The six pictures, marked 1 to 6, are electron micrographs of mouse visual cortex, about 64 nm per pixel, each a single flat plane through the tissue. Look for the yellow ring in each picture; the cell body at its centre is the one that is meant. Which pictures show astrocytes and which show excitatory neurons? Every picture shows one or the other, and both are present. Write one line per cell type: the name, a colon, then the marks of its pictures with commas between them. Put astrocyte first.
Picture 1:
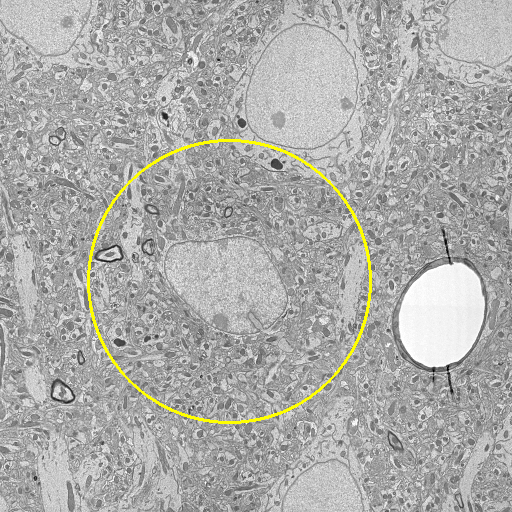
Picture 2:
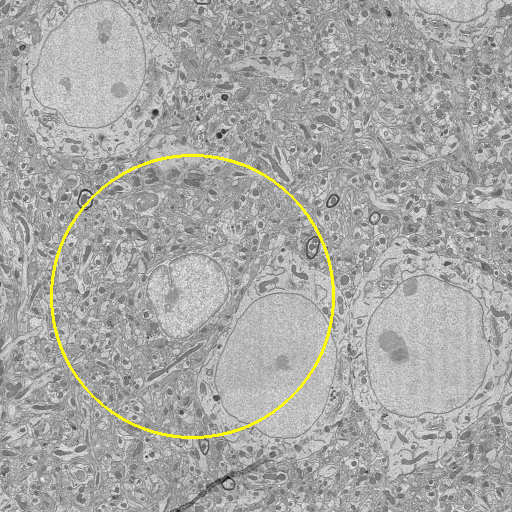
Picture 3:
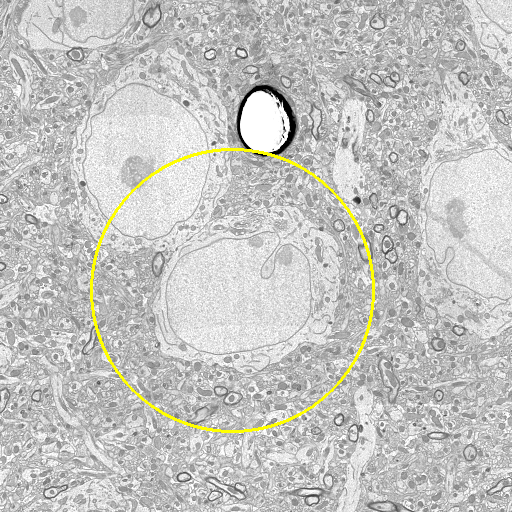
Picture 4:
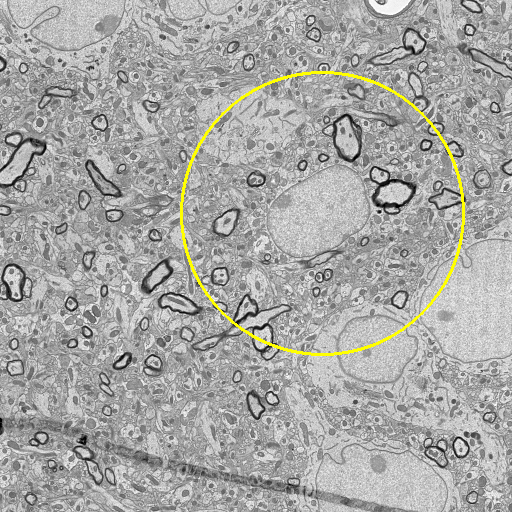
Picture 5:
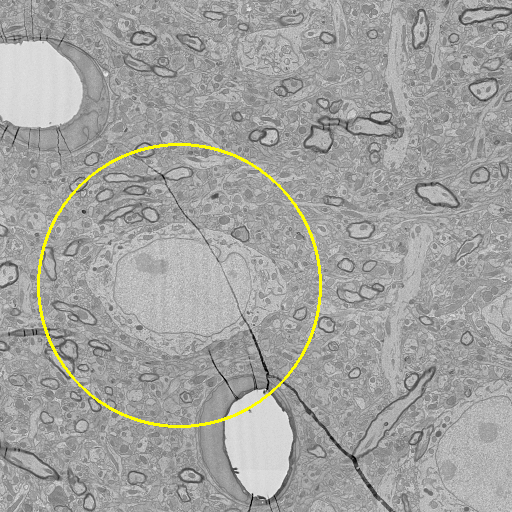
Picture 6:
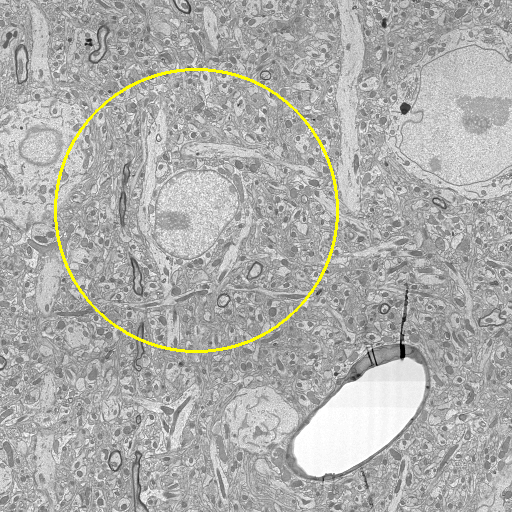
astrocyte: 1, 2, 4, 6
excitatory neuron: 3, 5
